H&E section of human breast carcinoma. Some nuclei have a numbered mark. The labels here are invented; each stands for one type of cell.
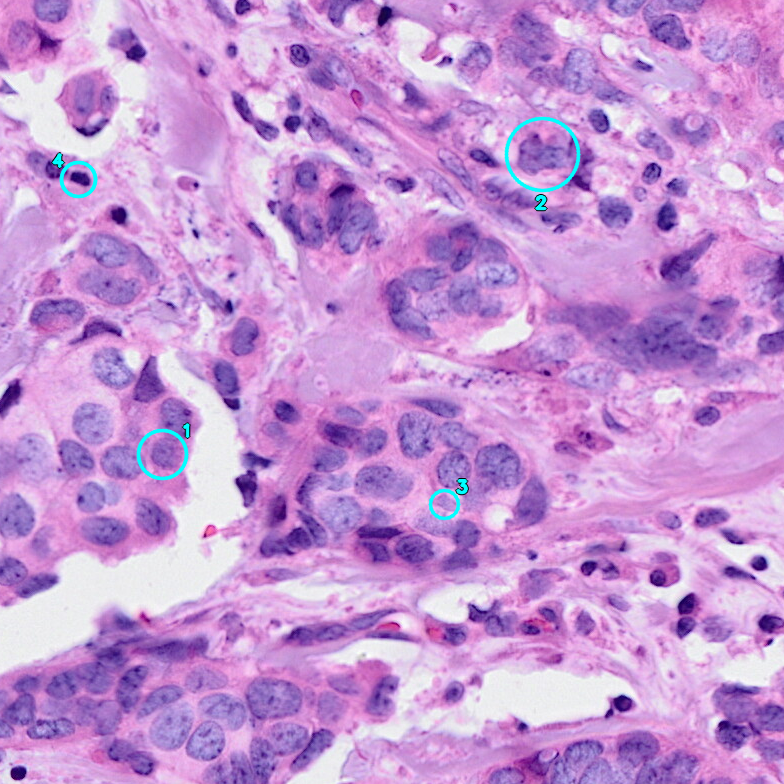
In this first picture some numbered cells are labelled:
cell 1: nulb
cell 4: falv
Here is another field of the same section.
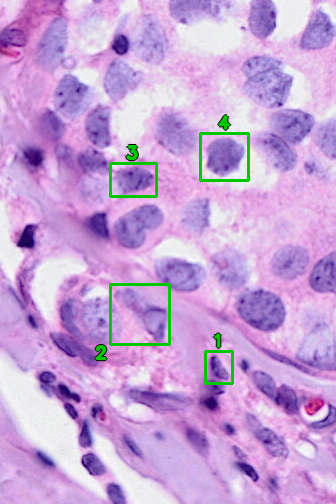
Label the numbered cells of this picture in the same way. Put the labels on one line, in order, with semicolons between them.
falv; nulb; nulb; nulb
